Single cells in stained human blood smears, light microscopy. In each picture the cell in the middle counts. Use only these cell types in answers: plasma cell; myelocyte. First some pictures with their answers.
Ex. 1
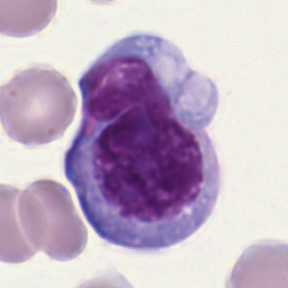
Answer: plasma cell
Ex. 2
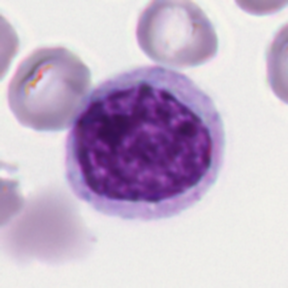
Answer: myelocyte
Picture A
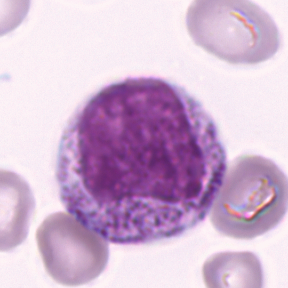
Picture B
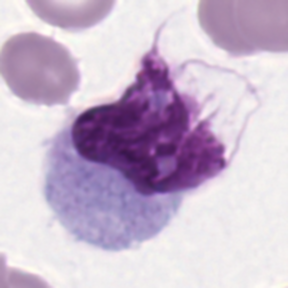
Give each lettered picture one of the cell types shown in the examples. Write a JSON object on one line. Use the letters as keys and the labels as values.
{"A": "myelocyte", "B": "plasma cell"}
